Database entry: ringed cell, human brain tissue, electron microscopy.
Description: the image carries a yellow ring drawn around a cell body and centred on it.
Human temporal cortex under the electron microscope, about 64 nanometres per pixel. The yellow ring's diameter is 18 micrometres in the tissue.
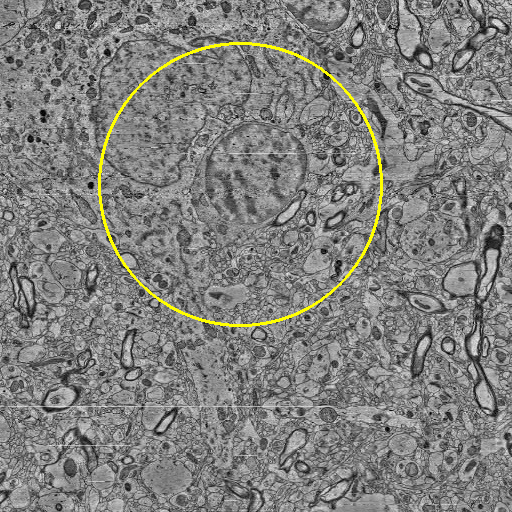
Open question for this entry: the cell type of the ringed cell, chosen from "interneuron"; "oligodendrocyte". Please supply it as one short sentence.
The ringed cell is an oligodendrocyte.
